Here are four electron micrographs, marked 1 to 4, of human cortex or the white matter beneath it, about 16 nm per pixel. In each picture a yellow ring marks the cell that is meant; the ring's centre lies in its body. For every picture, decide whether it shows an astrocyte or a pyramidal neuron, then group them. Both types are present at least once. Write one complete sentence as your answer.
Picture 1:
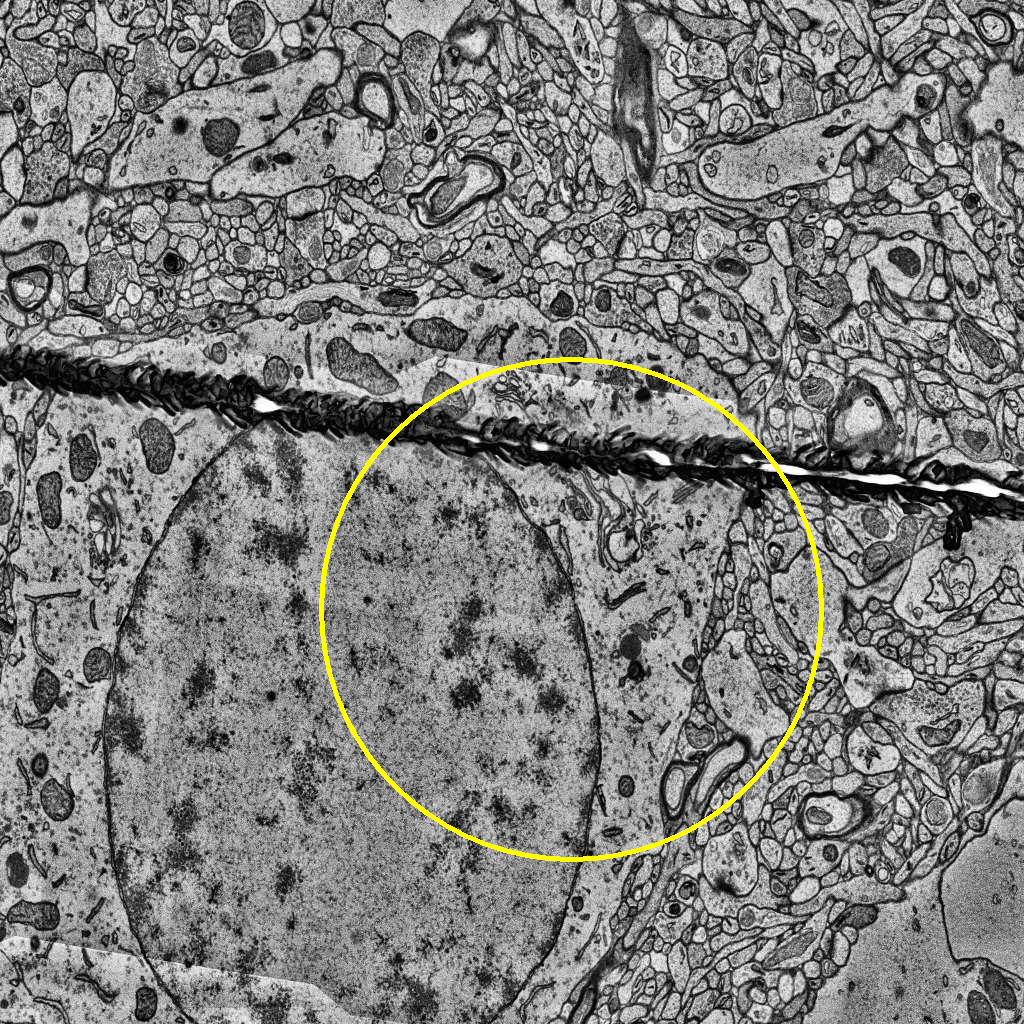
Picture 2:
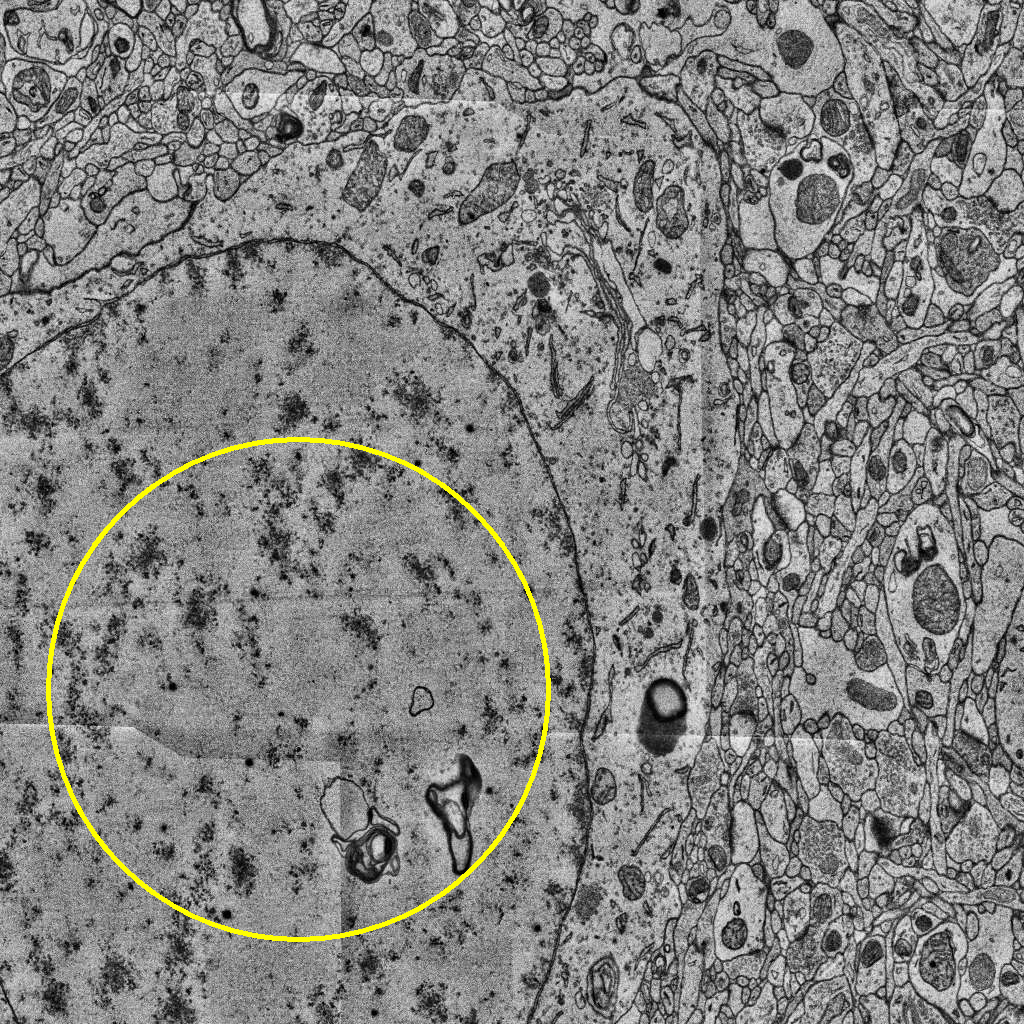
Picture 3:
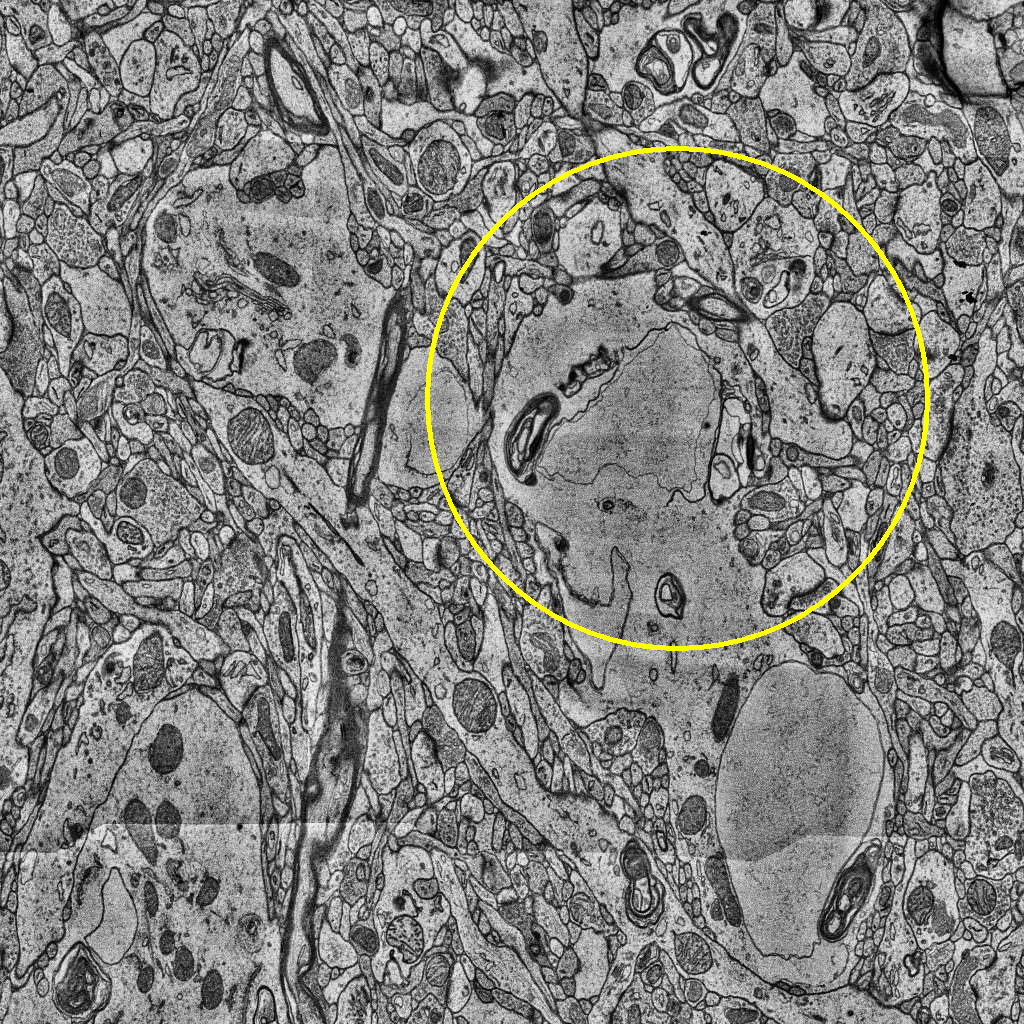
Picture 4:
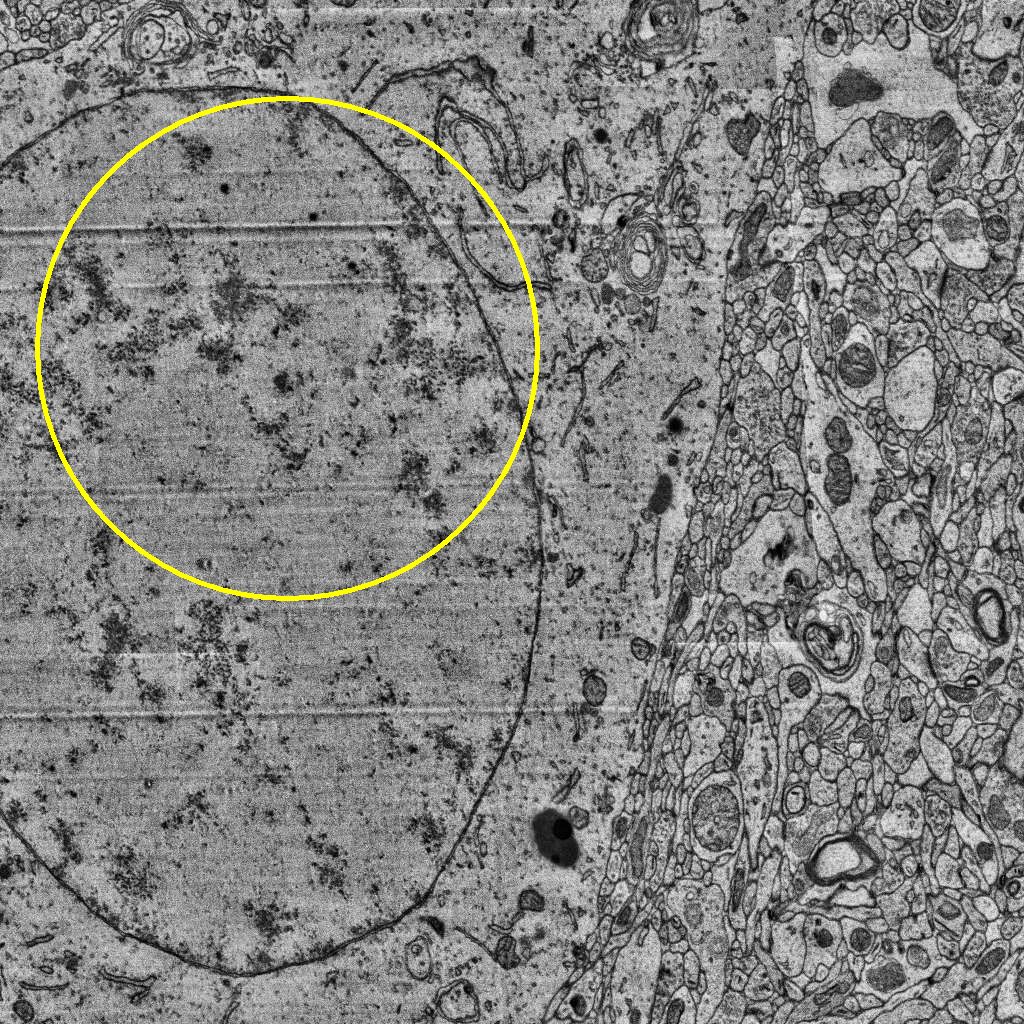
Picture 3 shows an astrocyte; pictures 1, 2 and 4 show pyramidal neurons.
